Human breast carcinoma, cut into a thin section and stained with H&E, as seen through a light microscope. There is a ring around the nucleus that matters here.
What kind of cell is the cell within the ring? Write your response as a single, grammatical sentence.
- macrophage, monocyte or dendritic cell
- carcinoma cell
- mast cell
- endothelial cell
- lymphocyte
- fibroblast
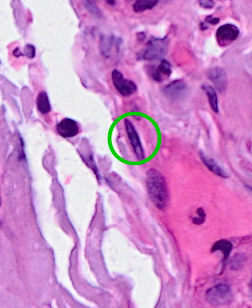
Microscopically, the cell within the ring is categorized as an endothelial cell.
